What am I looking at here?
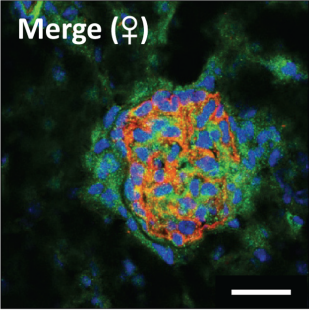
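The red label traces a lacy, interconnected network of loops across the tuft, with dark spaces between the loops. Blue nuclei are crowded within the tuft and also line its rim and the surrounding tissue. Green label is spread diffusely through the tuft and over the neighbouring tubules, and where it meets the red the colour turns yellow-orange.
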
